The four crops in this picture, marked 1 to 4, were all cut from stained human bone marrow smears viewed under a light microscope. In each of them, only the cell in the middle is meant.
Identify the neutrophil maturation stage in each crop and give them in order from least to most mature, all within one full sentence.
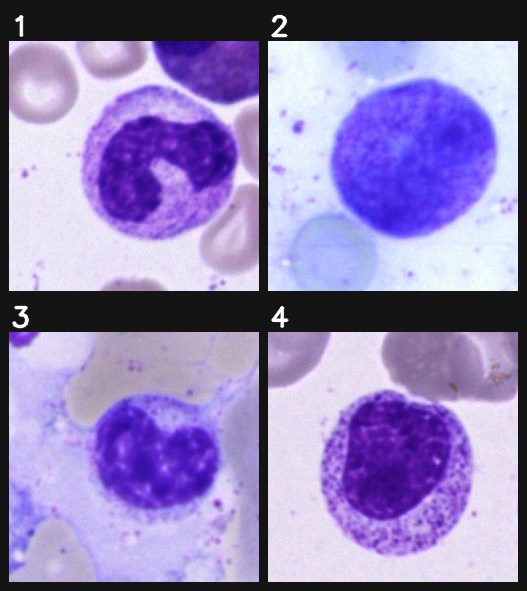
By maturity, starting with the least mature, the order is crop 2 (a promyelocyte), crop 4 (a myelocyte), crop 3 (a metamyelocyte) and crop 1 (a band neutrophil).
